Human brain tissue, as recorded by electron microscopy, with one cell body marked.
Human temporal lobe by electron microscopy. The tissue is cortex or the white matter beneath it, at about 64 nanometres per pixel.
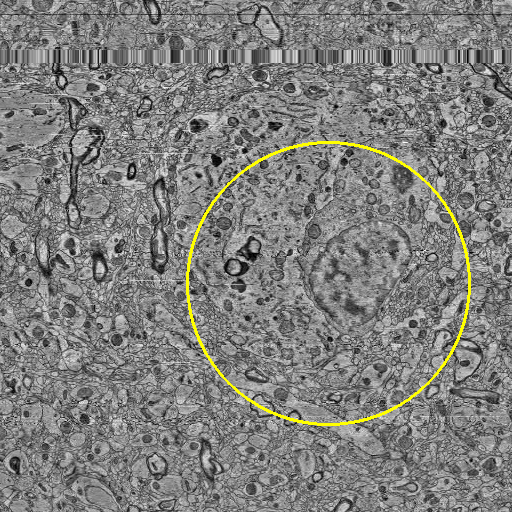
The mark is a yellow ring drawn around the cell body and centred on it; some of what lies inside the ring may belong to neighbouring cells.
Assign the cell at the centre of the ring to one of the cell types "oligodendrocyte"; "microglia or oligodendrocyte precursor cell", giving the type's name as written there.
oligodendrocyte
